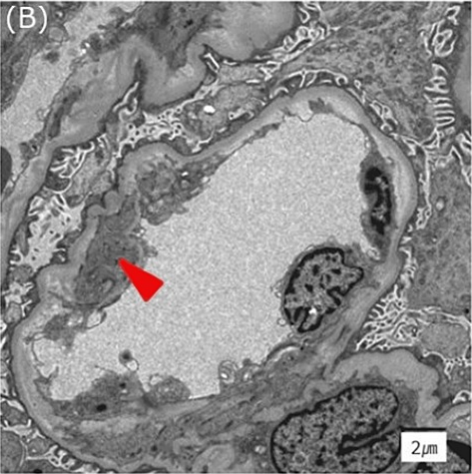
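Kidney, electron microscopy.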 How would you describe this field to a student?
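A single glomerular capillary loop is seen at high magnification, its wide pale lumen filled with finely granular plasma. An endothelial cell nucleus with clumped dark chromatin sits against the right side of the wall, and another large nucleus lies below the loop. The capillary wall is thickened and layered, with a broad pale band beneath the endothelium. Along the left side, dark irregular cellular material lies inside the wall, between the lumen lining and the outer basement membrane. Outside the loop, the urinary space holds many small, interlacing podocyte foot processes.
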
